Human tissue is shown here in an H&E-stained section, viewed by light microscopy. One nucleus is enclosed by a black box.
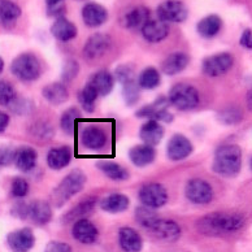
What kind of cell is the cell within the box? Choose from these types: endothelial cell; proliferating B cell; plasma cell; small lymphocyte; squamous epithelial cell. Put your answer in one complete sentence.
It is as a plasma cell that the cell within the box is recorded.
